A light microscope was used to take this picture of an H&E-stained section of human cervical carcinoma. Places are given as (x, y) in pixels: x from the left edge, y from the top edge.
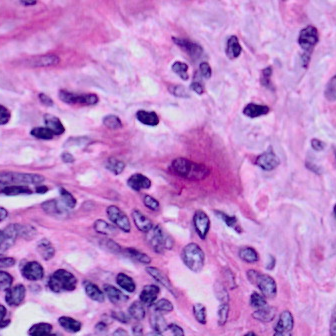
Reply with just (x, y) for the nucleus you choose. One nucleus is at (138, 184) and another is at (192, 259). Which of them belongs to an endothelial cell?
(192, 259)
